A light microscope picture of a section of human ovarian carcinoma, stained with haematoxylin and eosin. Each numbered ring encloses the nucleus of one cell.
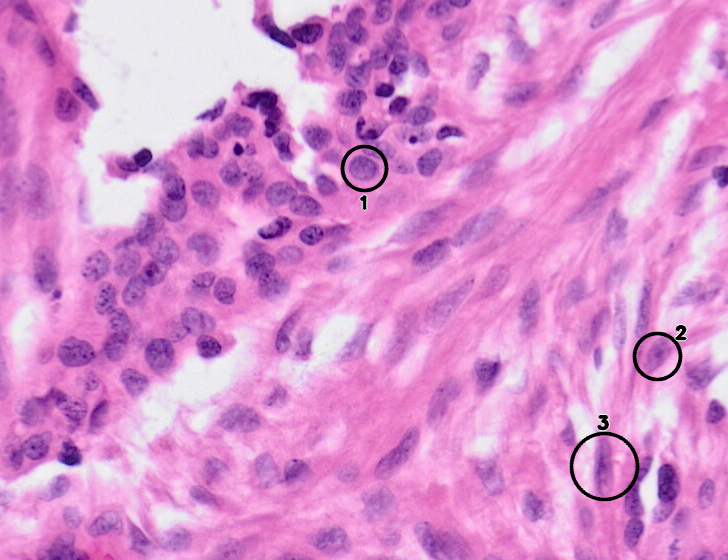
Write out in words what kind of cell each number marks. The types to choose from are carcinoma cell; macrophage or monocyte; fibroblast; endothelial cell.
Cell 1 is a carcinoma cell. Cells 2 and 3 are fibroblasts.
